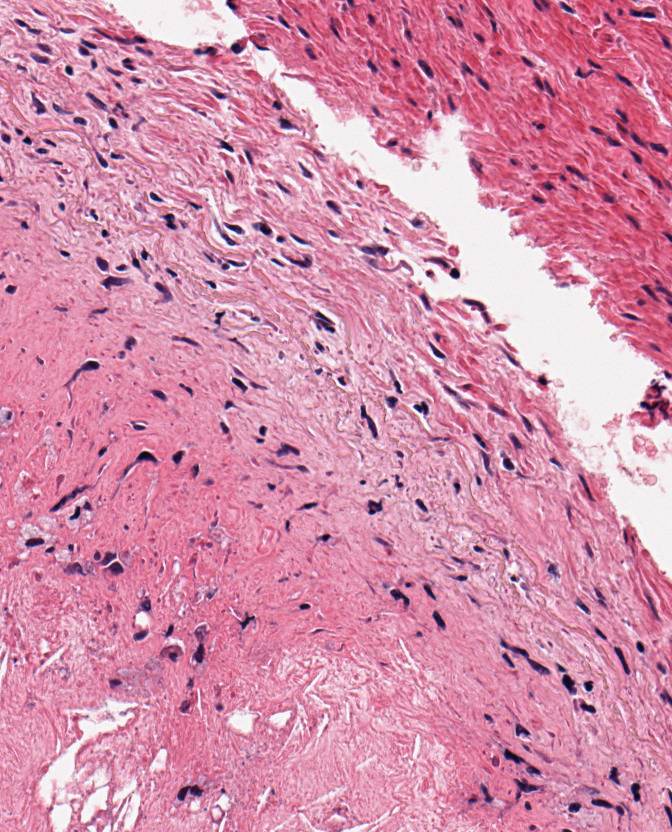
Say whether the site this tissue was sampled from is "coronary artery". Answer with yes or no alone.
yes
